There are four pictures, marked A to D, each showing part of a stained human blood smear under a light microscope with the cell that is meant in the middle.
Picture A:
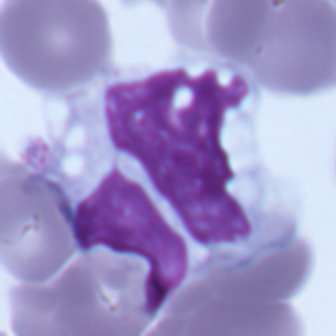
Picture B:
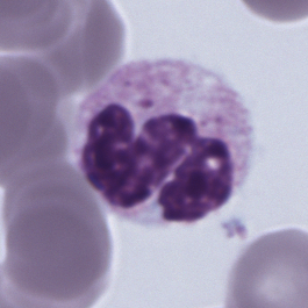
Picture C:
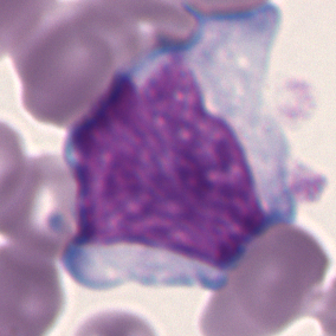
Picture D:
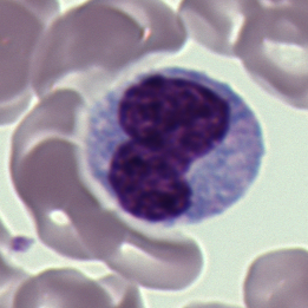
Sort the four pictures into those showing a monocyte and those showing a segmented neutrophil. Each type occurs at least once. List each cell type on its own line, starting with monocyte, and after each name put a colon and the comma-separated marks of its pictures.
monocyte: A, C, D
segmented neutrophil: B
